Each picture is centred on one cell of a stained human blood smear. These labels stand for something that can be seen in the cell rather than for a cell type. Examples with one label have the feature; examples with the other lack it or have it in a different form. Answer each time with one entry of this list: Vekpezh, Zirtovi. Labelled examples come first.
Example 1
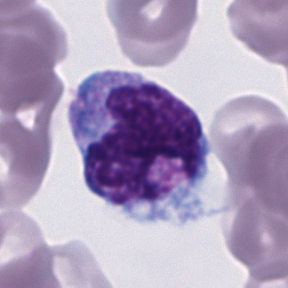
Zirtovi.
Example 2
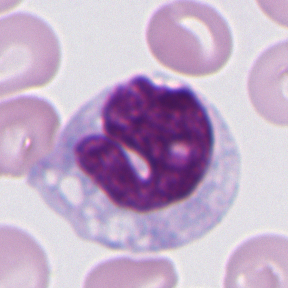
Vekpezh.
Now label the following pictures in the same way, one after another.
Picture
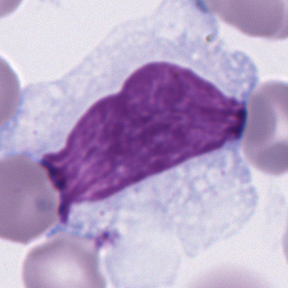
Vekpezh.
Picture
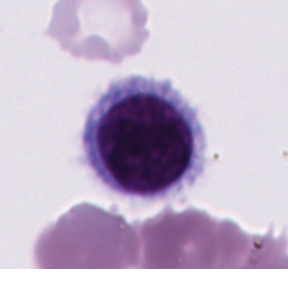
Zirtovi.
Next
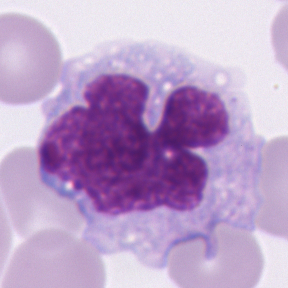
Vekpezh.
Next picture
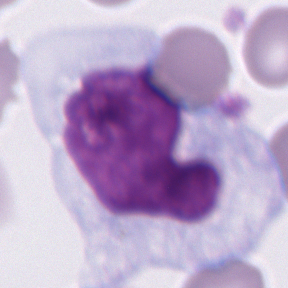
Vekpezh.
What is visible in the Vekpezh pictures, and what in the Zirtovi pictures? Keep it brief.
Vekpezh, abundant cytoplasm; Zirtovi, scant cytoplasm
